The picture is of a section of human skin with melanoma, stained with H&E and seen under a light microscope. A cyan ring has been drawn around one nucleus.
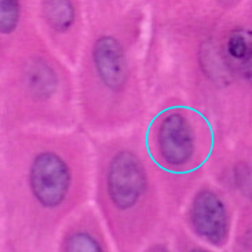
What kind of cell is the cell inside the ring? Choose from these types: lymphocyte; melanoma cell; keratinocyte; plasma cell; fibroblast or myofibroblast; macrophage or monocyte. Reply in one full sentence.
The classification of the cell inside the ring is as a keratinocyte.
